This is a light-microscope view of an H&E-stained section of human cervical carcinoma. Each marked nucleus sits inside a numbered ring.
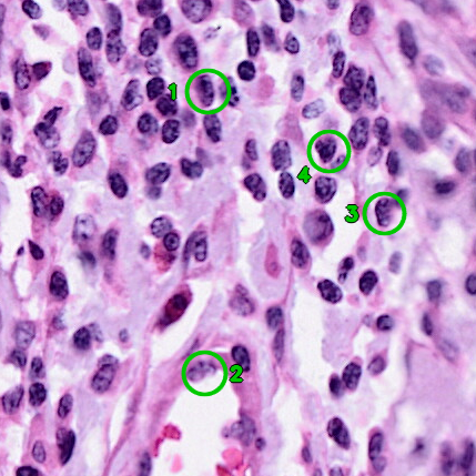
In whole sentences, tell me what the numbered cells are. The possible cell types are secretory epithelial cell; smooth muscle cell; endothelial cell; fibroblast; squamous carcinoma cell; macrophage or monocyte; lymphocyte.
Cells 1, 3 and 4 are lymphocytes. Cell 2 is an endothelial cell.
